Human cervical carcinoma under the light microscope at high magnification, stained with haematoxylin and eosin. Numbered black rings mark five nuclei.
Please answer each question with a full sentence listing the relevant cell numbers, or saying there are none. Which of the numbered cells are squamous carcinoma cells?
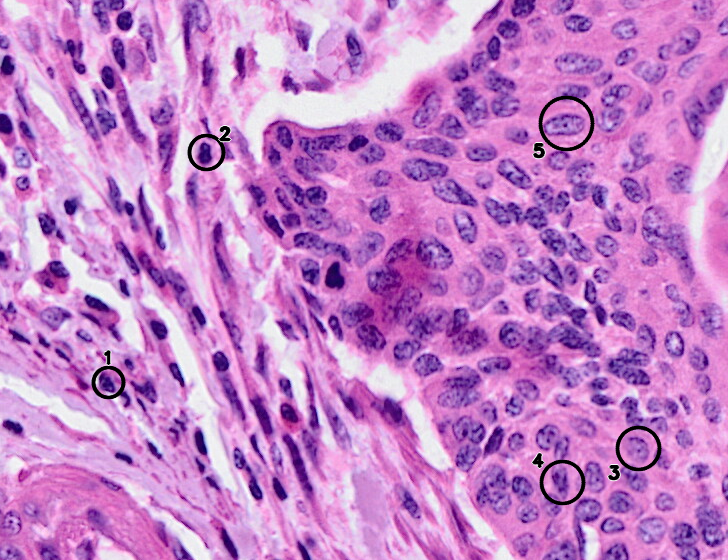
The identity of cells 3, 4 and 5: they are squamous carcinoma cells.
